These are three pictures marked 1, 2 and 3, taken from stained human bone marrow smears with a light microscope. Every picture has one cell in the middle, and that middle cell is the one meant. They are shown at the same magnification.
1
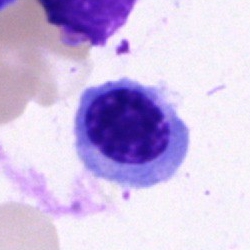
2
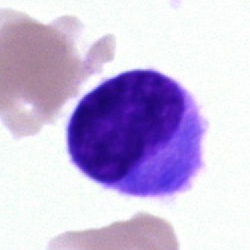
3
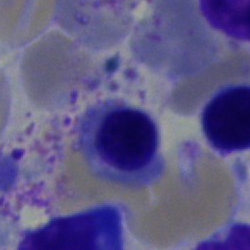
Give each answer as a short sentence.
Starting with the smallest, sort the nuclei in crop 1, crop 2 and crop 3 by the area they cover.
The order is 3, 1, 2, beginning with the smallest.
